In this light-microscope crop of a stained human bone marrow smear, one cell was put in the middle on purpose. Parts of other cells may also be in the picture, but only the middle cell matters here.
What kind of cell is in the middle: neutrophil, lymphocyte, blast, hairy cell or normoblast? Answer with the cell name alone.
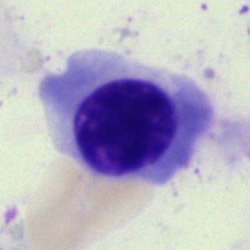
normoblast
